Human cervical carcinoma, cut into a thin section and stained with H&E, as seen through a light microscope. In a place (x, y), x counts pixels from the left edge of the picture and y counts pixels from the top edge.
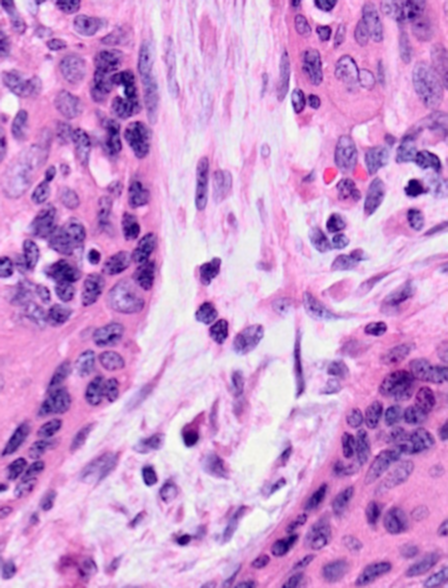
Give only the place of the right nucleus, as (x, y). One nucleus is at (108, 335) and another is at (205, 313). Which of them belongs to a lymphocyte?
(205, 313)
